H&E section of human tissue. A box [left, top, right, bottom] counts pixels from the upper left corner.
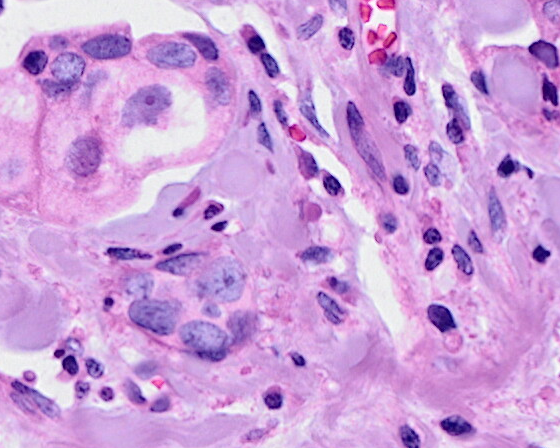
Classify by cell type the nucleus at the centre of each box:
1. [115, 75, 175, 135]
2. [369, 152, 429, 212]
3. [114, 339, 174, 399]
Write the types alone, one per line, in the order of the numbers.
carcinoma cell
lymphocyte
endothelial cell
